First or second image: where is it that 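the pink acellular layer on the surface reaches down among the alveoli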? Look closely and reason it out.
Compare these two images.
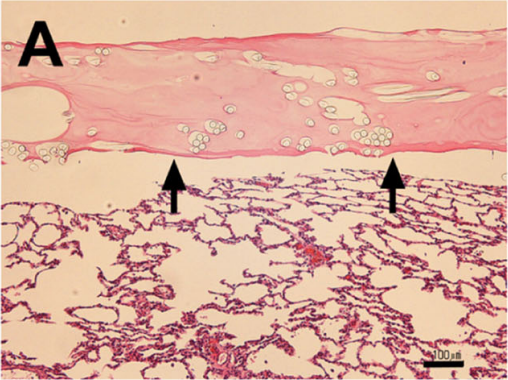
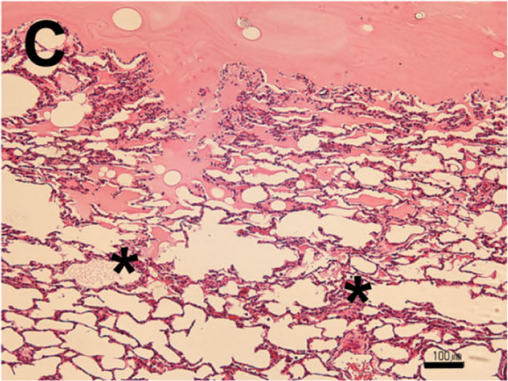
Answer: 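The second image. Second image: pink homogeneous material fills spaces between septa well below the surface. First image: the pink band lies above the alveolar tissue, separated from it by an empty gap.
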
